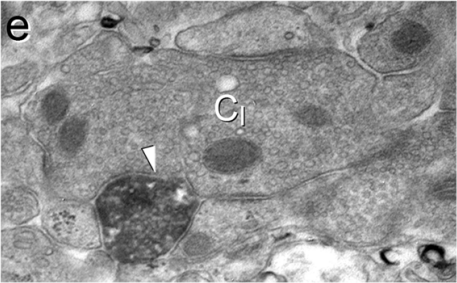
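This electron micrograph shows a large central terminal of a type I glomerulus, densely packed with small round synaptic vesicles and containing several mitochondria. Beneath it lies a smaller axonal bouton filled with dark, electron-dense reaction product.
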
